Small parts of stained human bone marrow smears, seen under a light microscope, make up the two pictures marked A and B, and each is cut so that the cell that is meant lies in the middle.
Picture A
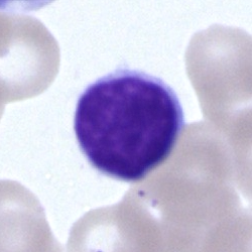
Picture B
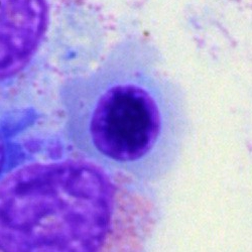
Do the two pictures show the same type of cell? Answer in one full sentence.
No, they differ: the cell is a lymphocyte in picture A and an erythroblast in picture B.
